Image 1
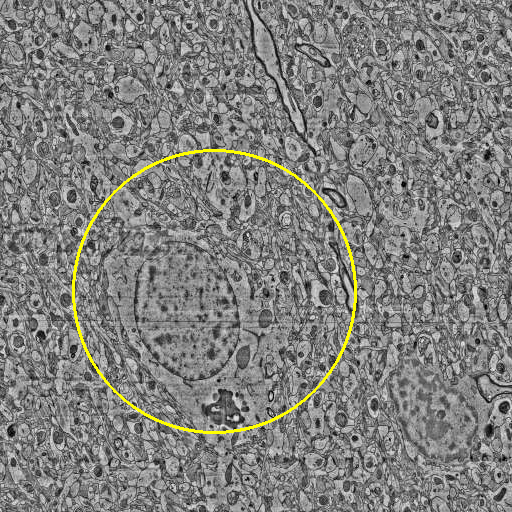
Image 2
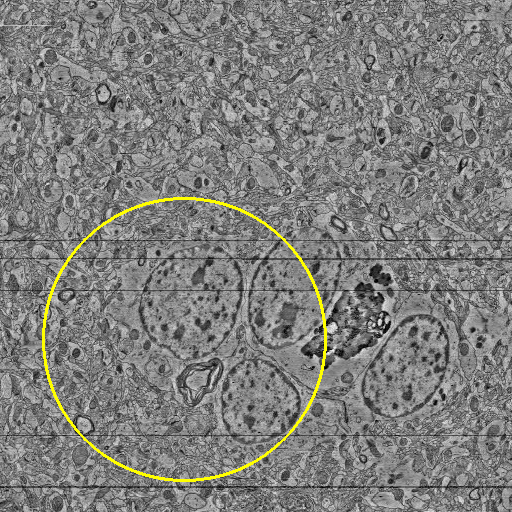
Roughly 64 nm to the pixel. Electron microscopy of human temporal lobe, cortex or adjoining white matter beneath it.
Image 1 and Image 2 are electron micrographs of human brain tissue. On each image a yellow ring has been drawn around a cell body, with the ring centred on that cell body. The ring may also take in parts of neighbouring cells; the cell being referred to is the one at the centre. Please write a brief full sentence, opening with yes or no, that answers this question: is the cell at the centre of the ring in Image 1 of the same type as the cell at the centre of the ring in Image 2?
Yes, both cells are of the same type.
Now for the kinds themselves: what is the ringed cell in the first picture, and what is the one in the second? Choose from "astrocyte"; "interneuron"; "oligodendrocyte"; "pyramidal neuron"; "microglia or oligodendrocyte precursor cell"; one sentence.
In the first picture and in the second, the ring is centred on an astrocyte.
